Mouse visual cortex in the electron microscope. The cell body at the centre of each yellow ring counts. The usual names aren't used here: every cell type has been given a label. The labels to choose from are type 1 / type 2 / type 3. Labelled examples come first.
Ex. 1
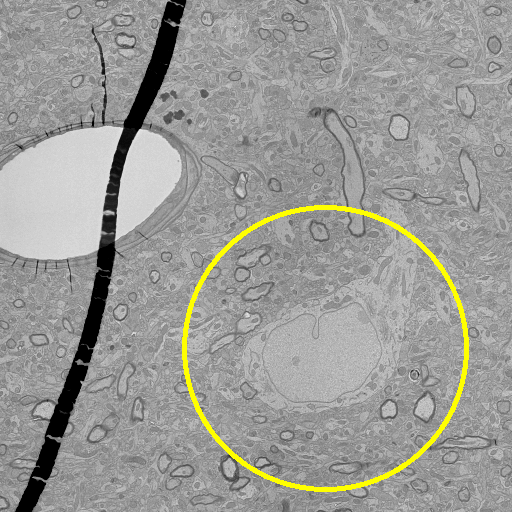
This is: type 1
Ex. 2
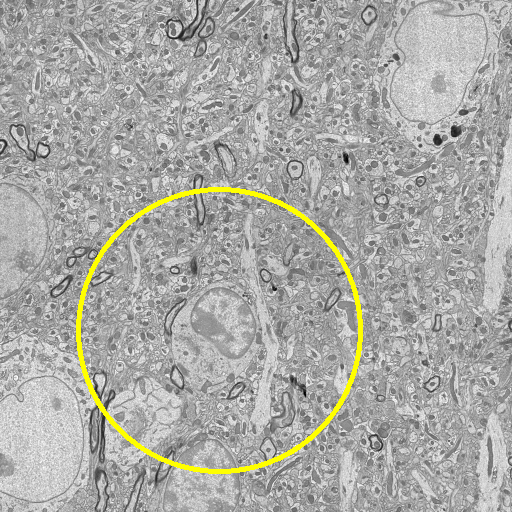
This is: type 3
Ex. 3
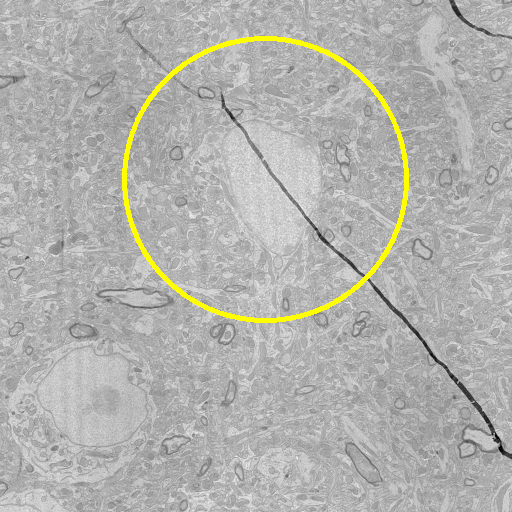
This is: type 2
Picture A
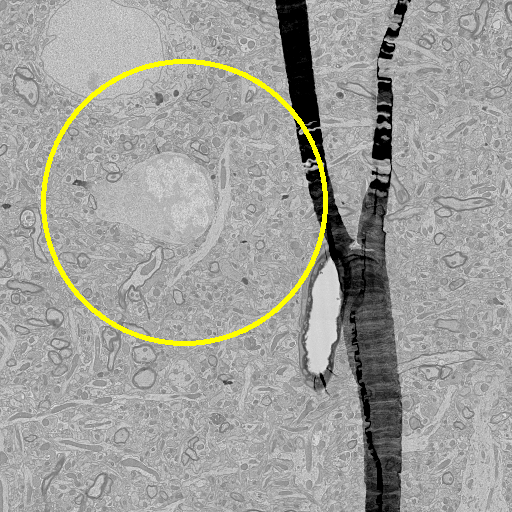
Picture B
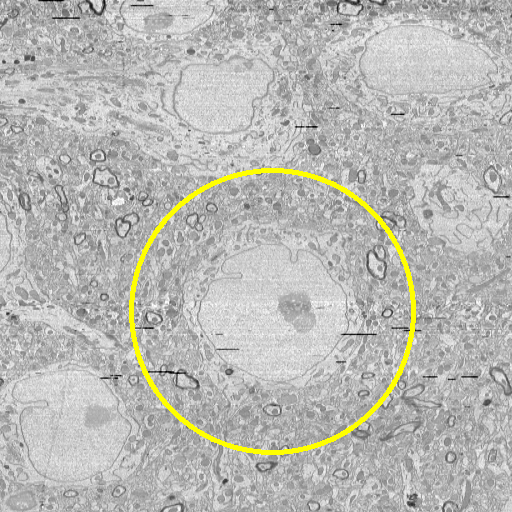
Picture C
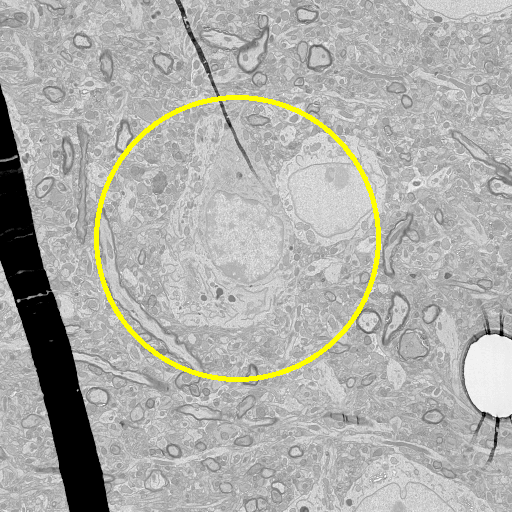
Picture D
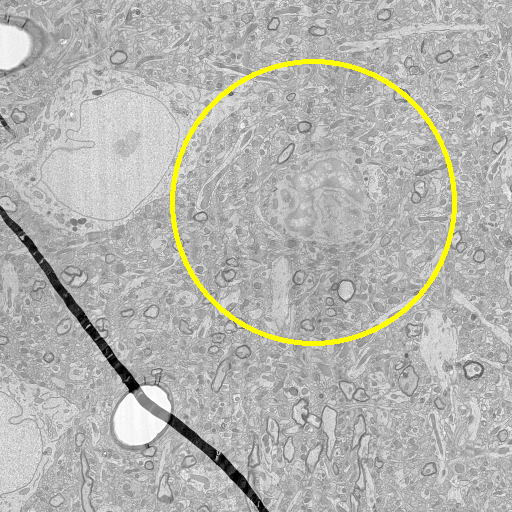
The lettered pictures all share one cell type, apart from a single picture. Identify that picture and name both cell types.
Different: B, type 1. Others: type 3.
